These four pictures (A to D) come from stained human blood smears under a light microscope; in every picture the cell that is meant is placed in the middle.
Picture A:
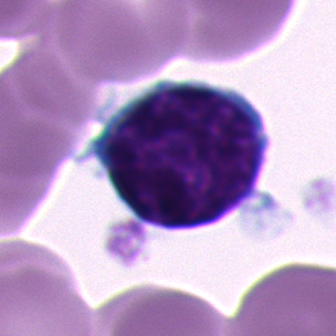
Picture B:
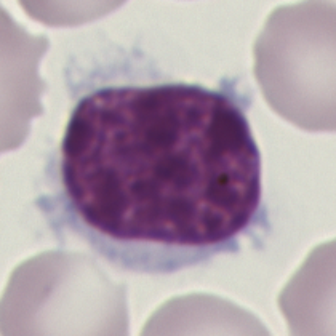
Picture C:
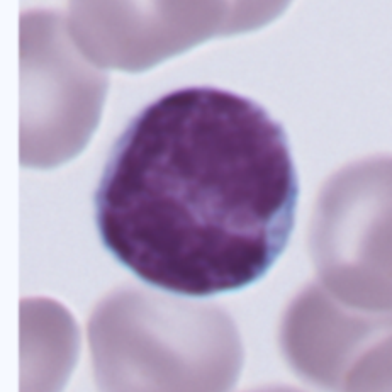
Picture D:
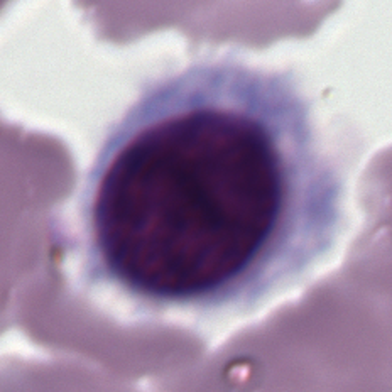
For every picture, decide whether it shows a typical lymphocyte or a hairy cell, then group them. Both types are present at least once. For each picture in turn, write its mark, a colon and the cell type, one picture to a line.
A: typical lymphocyte
B: hairy cell
C: typical lymphocyte
D: hairy cell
